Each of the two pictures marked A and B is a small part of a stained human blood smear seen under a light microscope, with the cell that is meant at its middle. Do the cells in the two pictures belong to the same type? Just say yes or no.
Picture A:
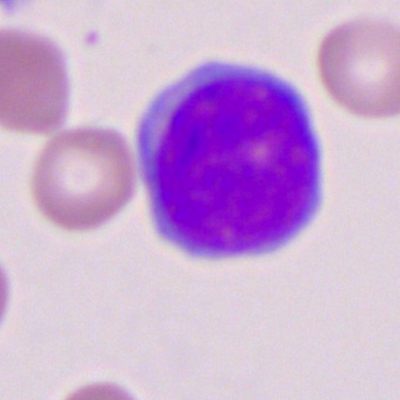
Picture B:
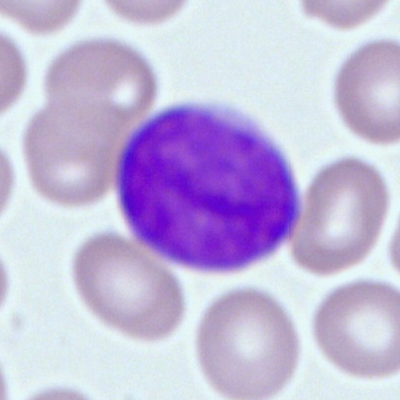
yes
